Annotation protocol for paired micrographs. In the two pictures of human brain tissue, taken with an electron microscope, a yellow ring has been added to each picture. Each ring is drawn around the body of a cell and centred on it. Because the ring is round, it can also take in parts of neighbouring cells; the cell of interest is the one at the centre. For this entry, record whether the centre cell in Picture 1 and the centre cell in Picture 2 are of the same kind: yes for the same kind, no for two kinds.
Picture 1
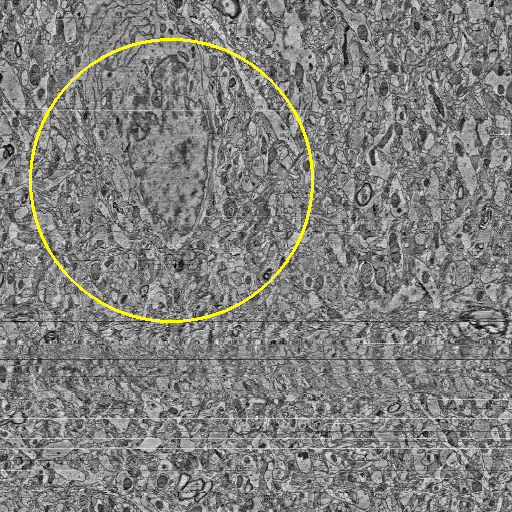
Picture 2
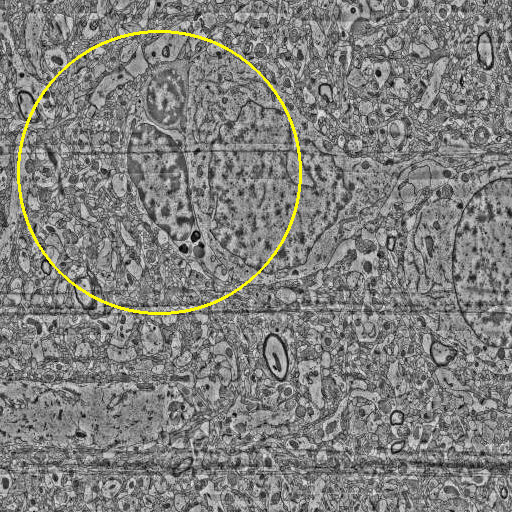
no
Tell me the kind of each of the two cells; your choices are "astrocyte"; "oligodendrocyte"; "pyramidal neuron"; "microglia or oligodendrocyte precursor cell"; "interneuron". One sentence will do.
The ringed cell is an interneuron in the first picture and a microglial cell or oligodendrocyte precursor cell in the second picture.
